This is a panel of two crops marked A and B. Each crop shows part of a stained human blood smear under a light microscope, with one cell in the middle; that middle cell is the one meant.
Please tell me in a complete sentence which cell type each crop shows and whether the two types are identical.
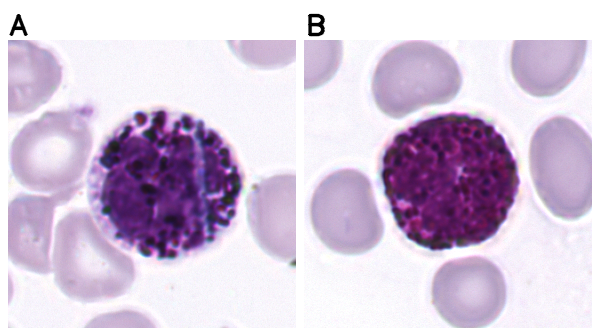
Yes, it is basophils that both crops show.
